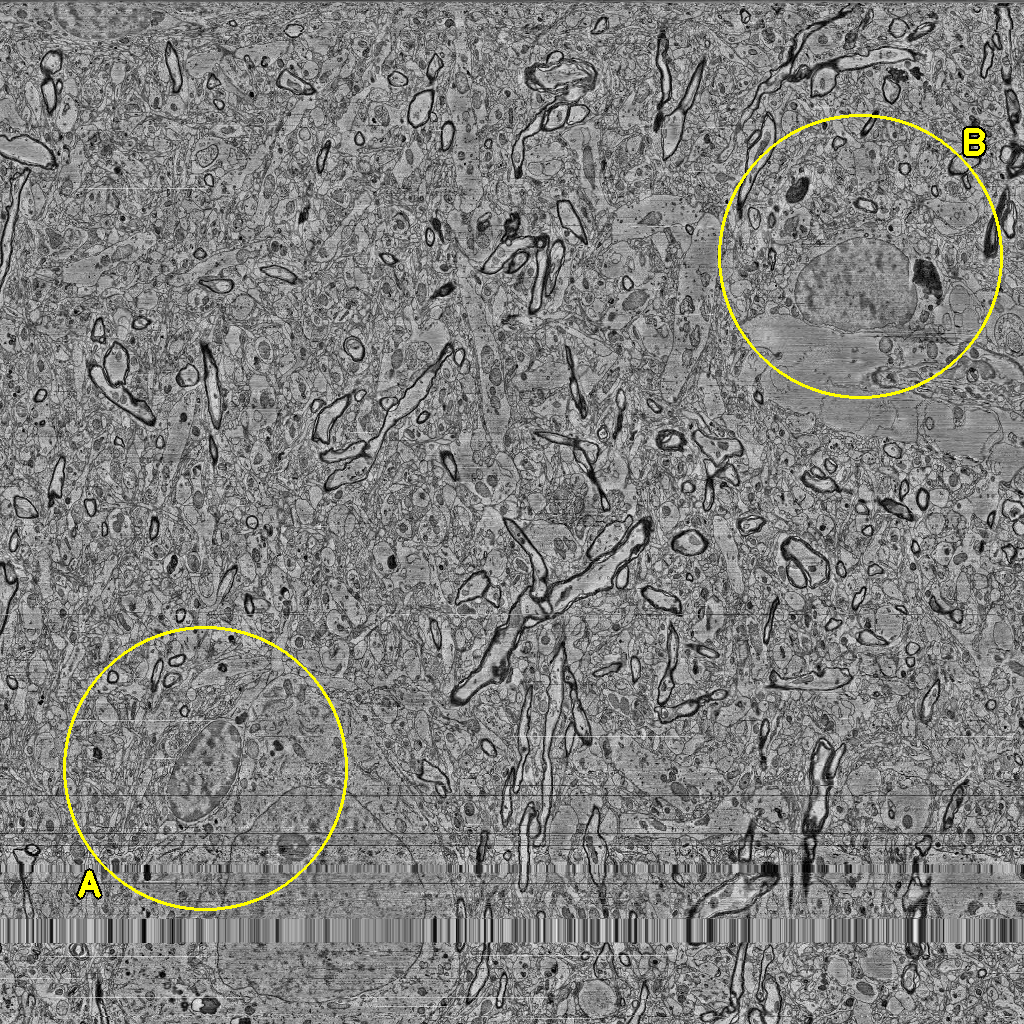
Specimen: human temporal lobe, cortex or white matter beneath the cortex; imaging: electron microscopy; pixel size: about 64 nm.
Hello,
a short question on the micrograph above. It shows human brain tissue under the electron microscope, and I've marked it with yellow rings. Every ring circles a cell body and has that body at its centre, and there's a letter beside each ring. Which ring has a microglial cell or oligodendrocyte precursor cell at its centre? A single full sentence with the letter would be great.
The cell you asked about sits at the centre of ring A.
